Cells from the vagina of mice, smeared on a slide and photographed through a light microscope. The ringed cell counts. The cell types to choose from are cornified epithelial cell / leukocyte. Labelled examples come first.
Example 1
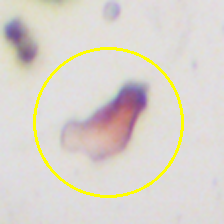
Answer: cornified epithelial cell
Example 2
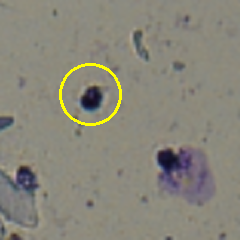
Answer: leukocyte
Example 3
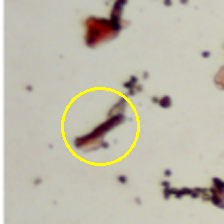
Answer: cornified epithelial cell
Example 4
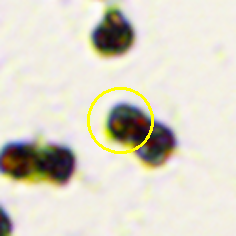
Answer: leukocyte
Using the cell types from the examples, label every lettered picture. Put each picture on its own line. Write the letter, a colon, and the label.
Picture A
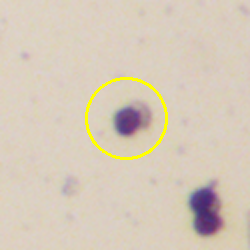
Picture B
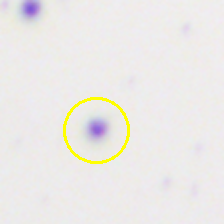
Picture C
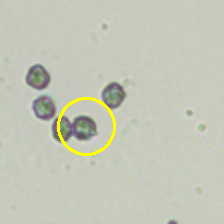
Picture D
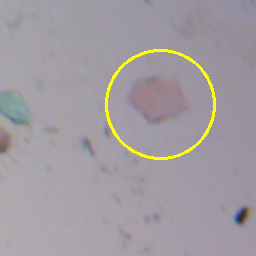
A: leukocyte
B: leukocyte
C: leukocyte
D: cornified epithelial cell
